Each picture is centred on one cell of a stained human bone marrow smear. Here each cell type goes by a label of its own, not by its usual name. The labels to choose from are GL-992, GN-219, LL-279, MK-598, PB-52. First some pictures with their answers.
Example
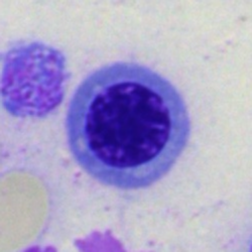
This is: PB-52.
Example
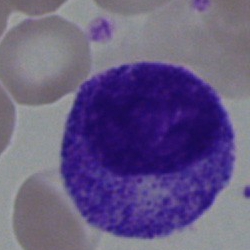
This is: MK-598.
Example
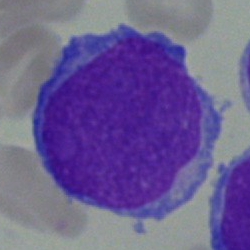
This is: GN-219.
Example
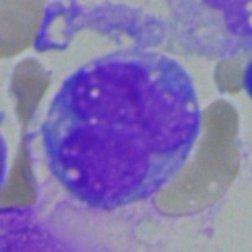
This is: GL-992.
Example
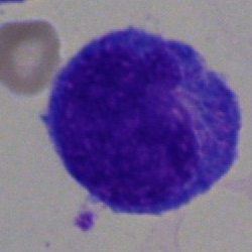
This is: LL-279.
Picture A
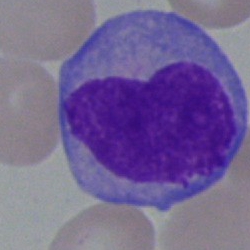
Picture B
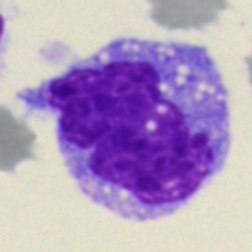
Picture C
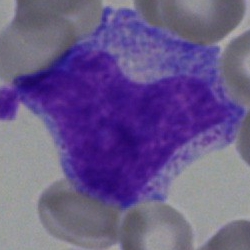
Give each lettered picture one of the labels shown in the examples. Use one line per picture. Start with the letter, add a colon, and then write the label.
A: GL-992.
B: GL-992.
C: MK-598.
